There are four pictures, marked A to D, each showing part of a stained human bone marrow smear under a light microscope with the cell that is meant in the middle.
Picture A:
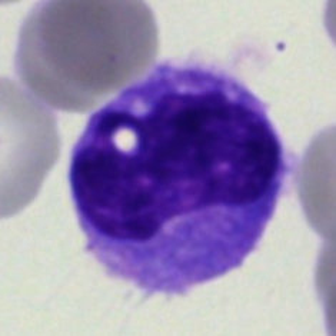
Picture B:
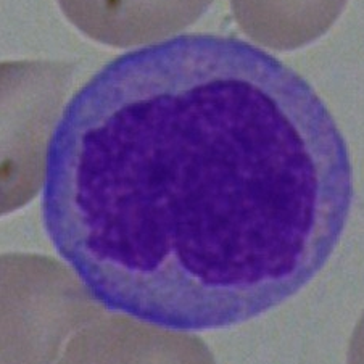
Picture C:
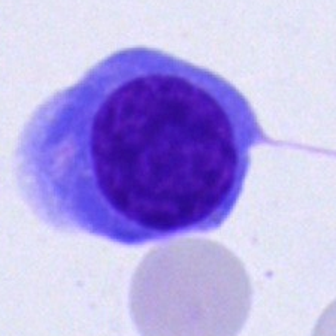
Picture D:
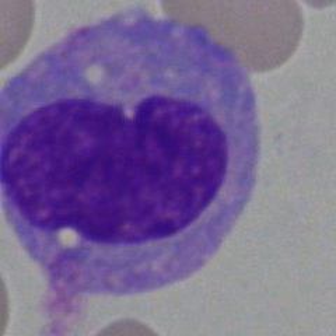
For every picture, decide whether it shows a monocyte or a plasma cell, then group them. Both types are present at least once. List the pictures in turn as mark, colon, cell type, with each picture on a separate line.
A: monocyte
B: monocyte
C: plasma cell
D: monocyte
